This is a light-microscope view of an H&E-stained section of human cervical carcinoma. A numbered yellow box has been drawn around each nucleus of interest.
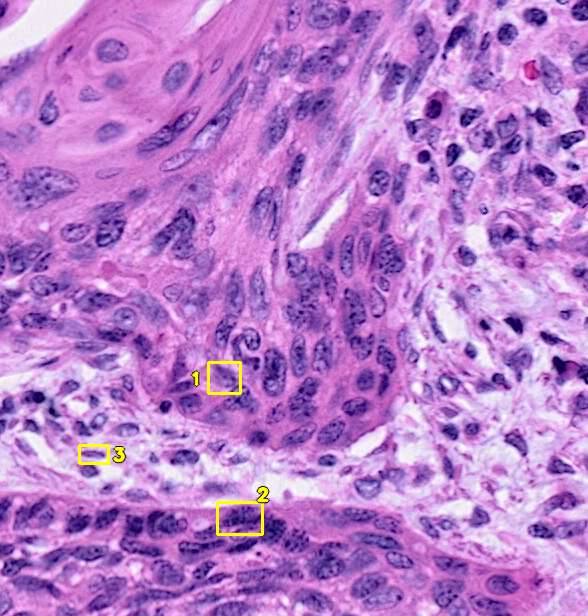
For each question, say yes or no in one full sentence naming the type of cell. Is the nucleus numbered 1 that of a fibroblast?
No, cell 1 is identified not as a fibroblast but as a squamous carcinoma cell.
